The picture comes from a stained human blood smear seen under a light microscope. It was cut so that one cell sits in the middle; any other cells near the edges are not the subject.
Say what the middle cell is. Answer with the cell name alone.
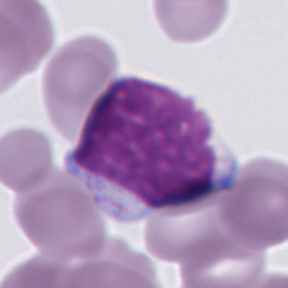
large granular lymphocyte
